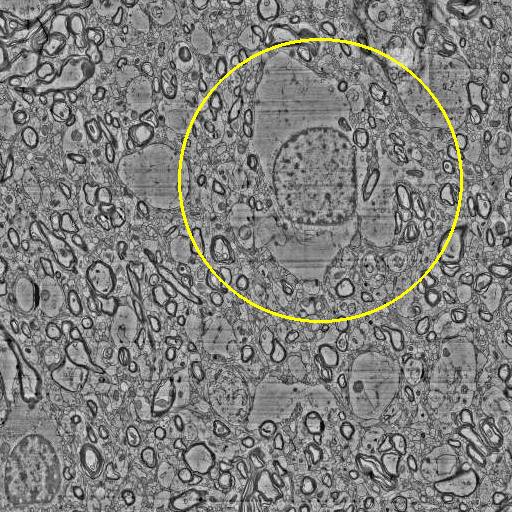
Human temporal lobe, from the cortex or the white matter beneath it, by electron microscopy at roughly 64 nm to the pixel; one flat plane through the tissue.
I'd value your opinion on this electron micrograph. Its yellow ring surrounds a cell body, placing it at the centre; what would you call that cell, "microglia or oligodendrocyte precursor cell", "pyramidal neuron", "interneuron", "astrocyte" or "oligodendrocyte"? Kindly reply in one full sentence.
It is an astrocyte that sits centred within the yellow ring in this micrograph.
